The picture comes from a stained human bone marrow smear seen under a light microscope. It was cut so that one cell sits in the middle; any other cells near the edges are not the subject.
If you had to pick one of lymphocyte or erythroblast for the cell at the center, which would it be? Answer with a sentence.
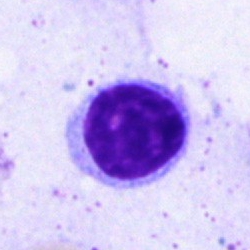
Here the cell in the middle is a lymphocyte.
